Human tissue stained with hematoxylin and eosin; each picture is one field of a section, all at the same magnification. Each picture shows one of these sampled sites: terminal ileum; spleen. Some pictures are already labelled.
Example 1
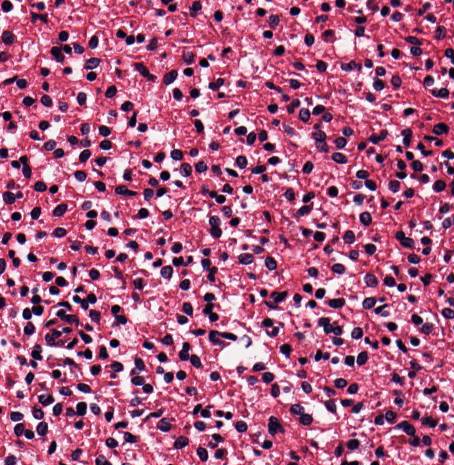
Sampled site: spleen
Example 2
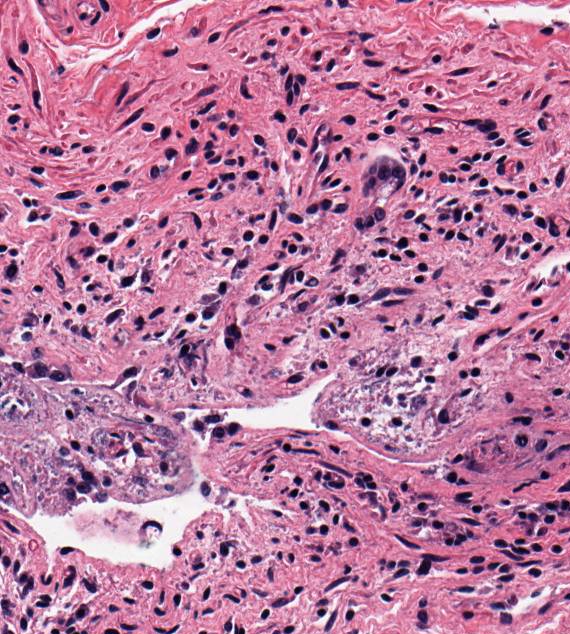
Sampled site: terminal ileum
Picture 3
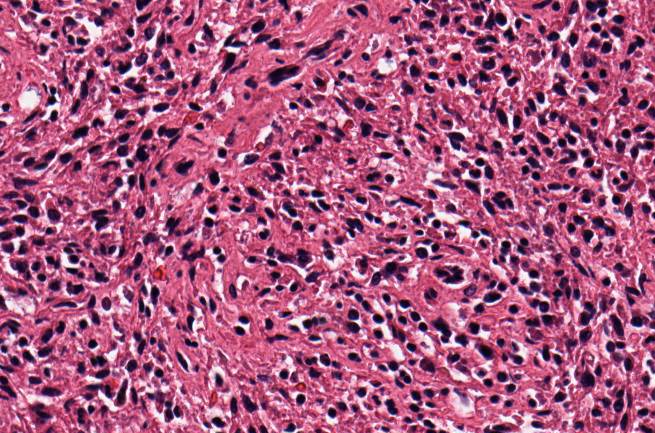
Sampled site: spleen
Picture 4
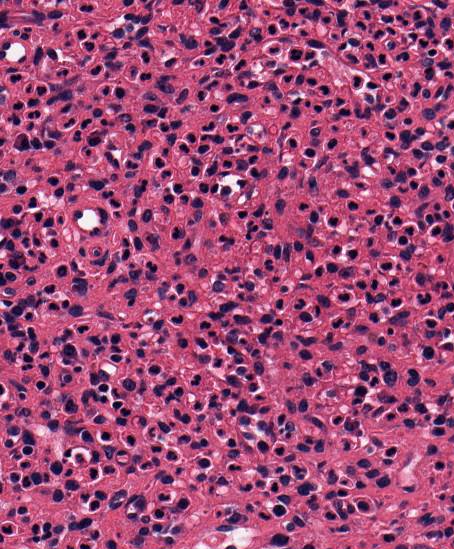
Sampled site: spleen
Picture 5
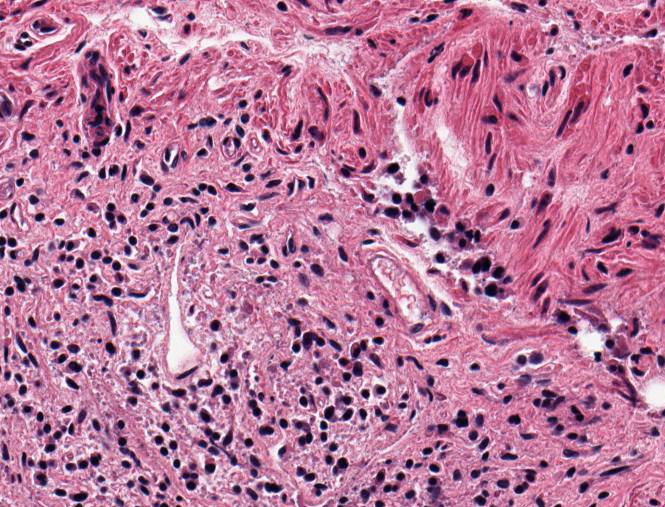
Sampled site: terminal ileum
